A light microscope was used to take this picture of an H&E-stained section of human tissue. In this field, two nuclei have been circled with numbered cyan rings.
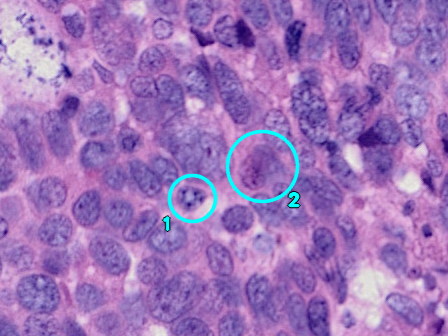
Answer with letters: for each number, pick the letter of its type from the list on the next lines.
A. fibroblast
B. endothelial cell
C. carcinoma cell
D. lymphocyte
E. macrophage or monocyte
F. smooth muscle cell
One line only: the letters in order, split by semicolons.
E; C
